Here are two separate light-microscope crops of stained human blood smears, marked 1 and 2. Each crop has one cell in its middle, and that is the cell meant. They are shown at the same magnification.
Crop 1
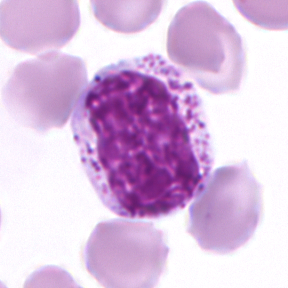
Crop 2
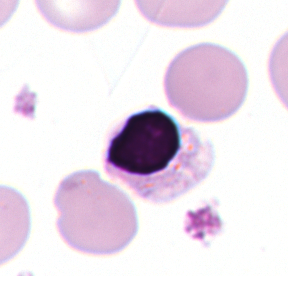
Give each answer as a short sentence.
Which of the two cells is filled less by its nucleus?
It is the cell in crop 2 that is filled less by its nucleus.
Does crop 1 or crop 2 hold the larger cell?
The cell in crop 1 is larger, with about 2.5 times the area of the one in crop 2.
